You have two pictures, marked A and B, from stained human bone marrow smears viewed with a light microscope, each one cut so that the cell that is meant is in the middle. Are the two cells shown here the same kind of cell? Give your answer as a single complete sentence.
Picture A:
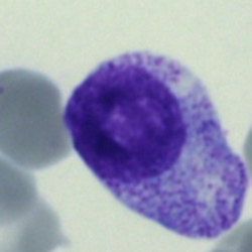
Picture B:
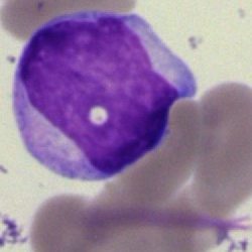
No. Picture A shows a promyelocyte, but picture B shows a blast.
